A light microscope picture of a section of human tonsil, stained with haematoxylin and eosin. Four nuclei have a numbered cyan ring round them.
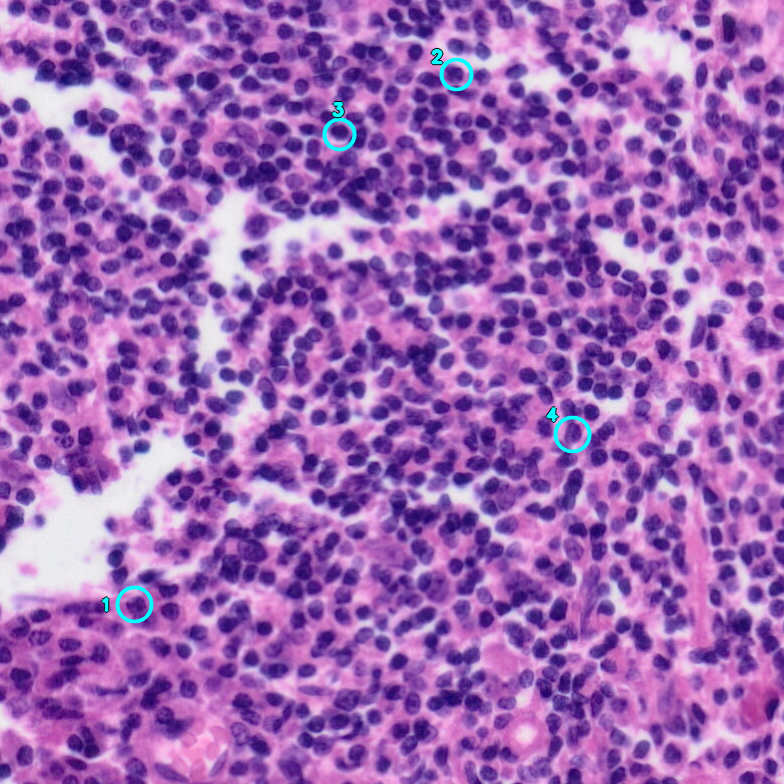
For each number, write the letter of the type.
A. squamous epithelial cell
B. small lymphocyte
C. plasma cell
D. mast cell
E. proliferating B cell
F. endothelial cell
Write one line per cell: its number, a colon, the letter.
1: C
2: B
3: B
4: B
